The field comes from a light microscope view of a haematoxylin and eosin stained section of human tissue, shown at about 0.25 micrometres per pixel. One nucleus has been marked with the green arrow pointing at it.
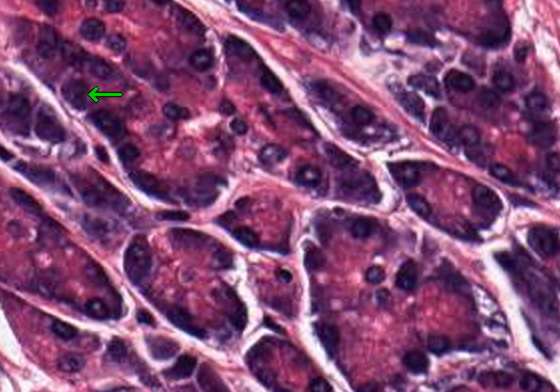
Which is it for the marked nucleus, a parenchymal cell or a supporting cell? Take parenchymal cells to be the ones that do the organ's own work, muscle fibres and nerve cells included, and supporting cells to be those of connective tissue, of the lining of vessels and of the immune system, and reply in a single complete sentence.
In the tissue shown, the marked nucleus is that of a pancreatic acinar cell, a parenchymal cell.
